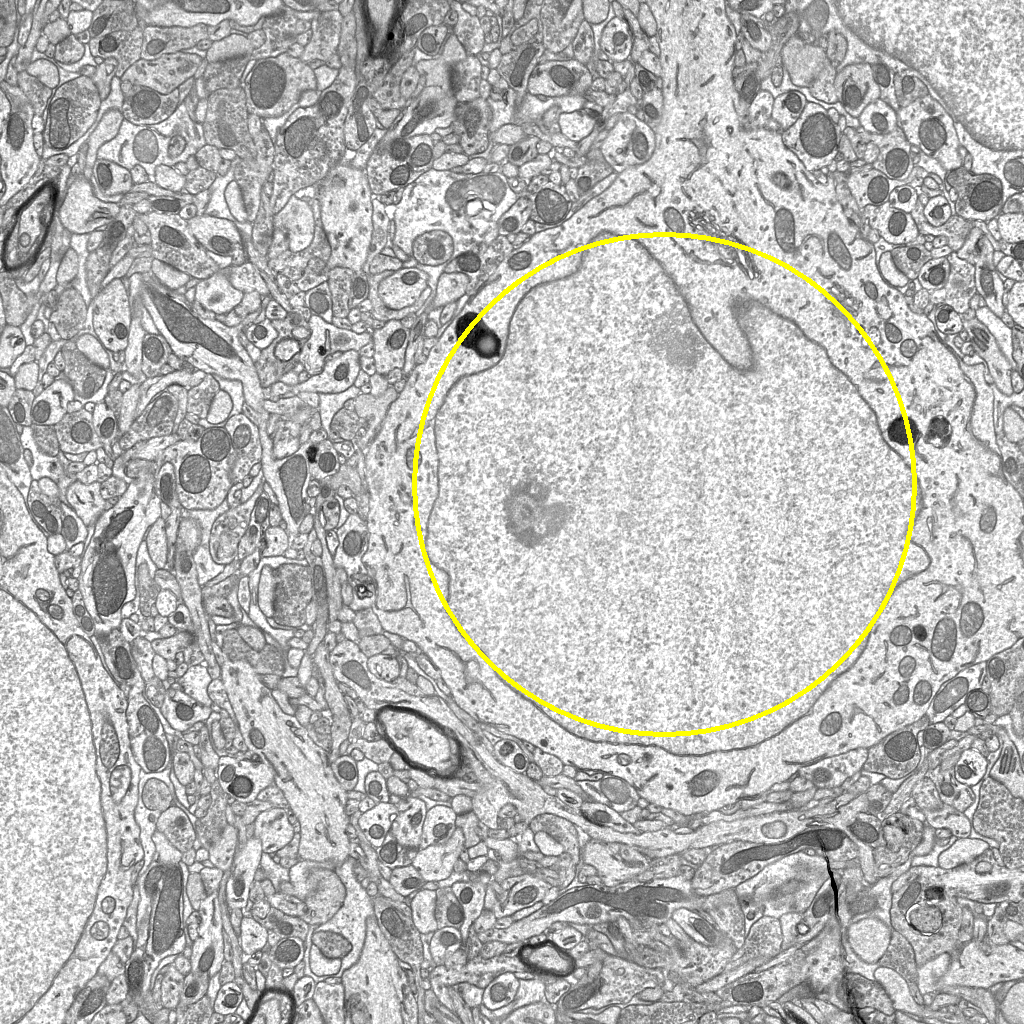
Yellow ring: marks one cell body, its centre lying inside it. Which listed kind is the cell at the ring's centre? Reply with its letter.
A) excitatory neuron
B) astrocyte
A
